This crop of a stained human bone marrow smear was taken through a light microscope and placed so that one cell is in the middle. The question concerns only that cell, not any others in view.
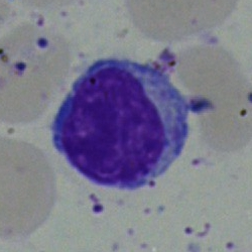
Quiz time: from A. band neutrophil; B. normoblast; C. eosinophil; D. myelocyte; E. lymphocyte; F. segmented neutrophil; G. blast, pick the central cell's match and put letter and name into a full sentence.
It is a lymphocyte that occupies the centre of the crop, so option E is correct.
